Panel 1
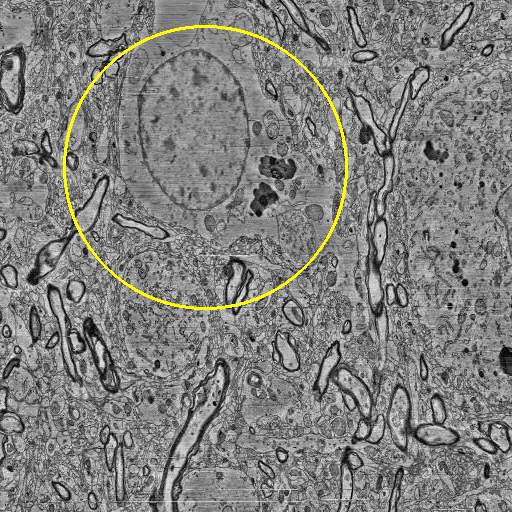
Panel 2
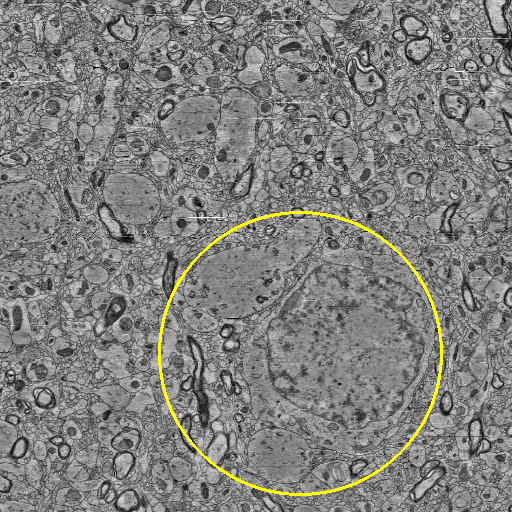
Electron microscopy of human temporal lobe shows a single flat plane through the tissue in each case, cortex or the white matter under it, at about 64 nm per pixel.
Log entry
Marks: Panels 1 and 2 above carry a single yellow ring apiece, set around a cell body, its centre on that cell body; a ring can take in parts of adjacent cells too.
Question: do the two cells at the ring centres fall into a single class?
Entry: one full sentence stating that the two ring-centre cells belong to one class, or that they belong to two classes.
The two ring-centre cells in Panels 1 and 2 belong to two classes.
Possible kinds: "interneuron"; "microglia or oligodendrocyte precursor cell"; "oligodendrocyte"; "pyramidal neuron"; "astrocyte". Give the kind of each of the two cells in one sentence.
The cell in the second picture is an interneuron, and that in the first is an astrocyte.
